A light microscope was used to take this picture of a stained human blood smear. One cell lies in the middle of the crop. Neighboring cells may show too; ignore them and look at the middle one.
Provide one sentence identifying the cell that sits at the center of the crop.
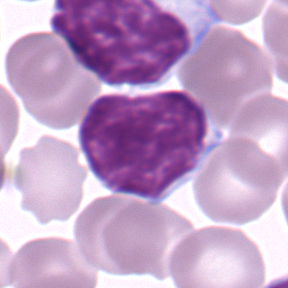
The cell under consideration, at the middle of the crop, is a typical lymphocyte.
